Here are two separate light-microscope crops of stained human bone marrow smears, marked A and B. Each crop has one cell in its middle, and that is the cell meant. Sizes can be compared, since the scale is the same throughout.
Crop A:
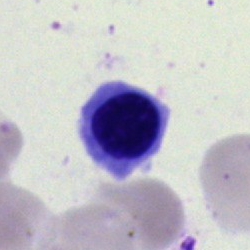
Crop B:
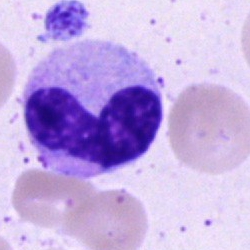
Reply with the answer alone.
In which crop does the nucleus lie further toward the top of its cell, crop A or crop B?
A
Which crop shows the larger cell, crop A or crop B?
B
